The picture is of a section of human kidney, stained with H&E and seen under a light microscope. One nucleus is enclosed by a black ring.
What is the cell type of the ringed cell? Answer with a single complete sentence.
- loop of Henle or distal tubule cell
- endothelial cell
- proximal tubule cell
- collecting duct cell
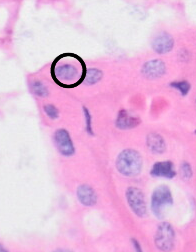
The cell meant here is a loop of Henle or distal tubule cell.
